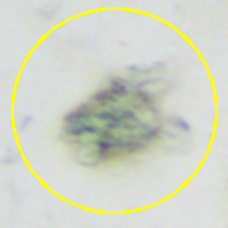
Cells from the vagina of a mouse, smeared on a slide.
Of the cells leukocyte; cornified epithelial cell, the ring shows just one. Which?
The ring shows a cornified epithelial cell.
